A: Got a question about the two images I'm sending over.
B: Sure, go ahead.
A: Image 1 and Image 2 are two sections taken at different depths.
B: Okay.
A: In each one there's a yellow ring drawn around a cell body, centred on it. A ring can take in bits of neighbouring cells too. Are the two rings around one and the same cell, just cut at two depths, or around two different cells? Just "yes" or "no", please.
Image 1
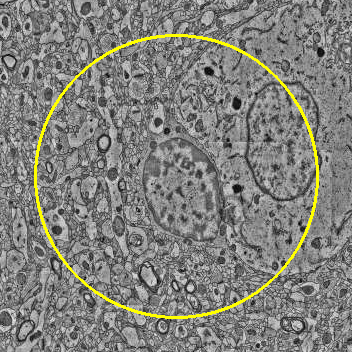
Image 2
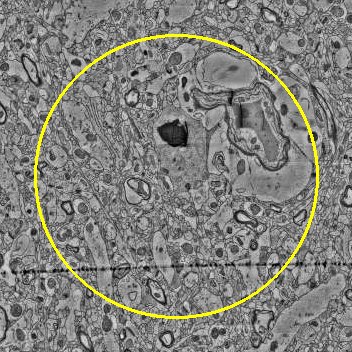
no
